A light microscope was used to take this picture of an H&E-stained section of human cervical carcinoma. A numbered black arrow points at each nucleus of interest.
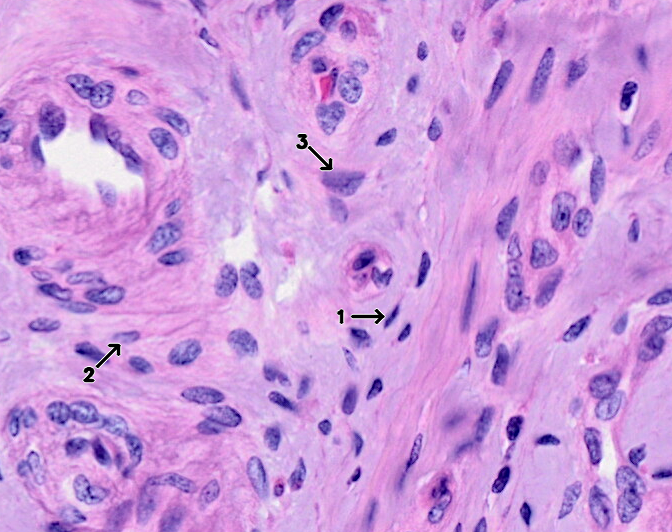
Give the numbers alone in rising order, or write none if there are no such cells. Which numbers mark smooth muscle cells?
2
